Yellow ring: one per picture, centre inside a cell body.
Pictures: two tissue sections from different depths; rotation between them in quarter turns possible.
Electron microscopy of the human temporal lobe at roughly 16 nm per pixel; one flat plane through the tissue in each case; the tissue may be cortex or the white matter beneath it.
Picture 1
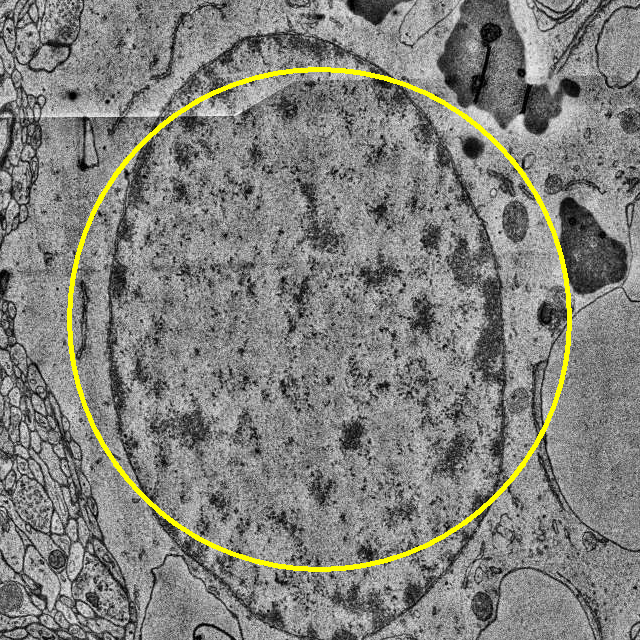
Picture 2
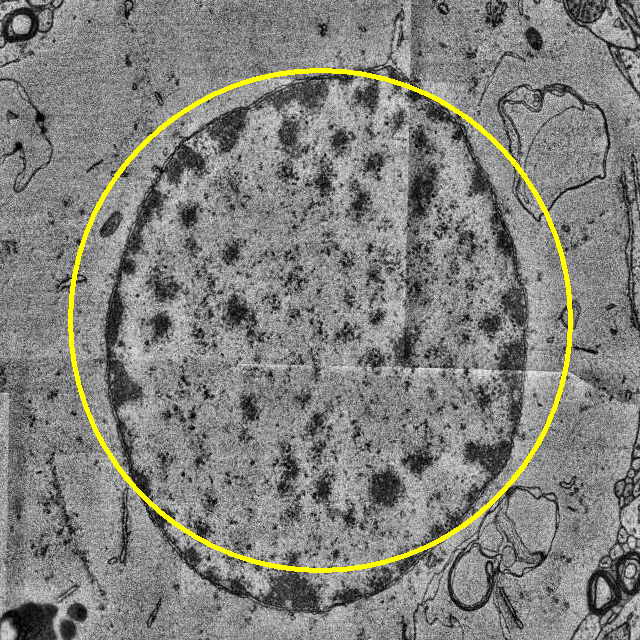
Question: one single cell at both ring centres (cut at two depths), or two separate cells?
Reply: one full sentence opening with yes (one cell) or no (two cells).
No, the yellow rings highlight two different cells in the tissue.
